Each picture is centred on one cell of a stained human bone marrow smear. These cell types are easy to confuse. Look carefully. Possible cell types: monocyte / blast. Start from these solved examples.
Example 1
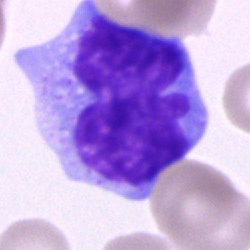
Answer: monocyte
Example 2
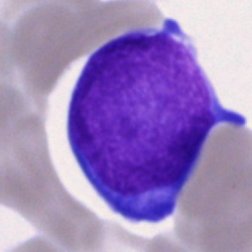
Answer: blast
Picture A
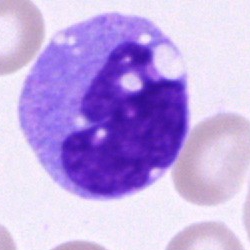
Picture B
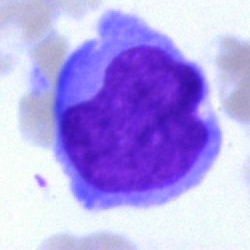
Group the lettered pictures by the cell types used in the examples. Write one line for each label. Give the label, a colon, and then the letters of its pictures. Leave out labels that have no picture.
monocyte: A
blast: B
